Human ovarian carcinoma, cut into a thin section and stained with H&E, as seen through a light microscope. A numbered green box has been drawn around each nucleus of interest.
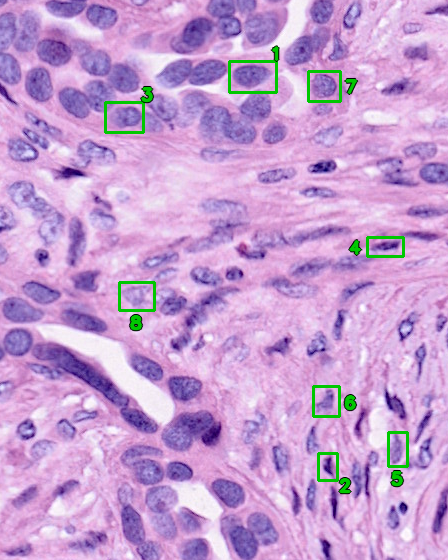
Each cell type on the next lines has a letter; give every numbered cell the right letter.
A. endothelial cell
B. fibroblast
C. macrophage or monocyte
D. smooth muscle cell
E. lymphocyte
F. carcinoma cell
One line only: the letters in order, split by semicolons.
F; B; F; B; B; B; F; B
